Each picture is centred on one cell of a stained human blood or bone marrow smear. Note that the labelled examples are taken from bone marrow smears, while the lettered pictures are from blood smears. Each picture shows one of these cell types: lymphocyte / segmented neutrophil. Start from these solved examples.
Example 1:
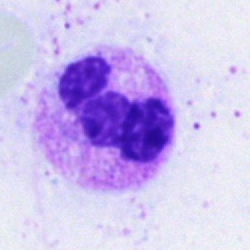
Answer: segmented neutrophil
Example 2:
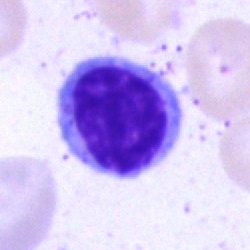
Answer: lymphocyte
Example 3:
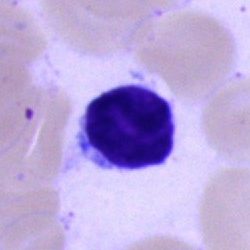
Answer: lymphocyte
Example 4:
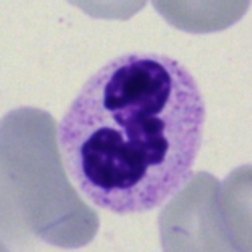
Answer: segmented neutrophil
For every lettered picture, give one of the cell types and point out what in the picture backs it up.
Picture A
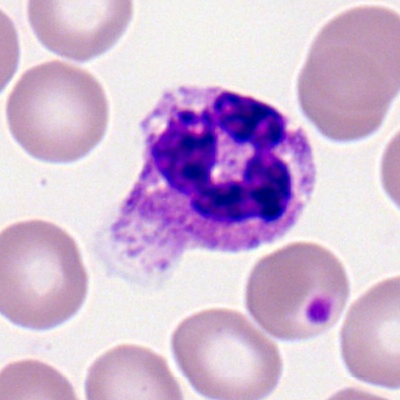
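Label: segmented neutrophil. The nucleus is curved into lobed segments that encircle a pale central gap.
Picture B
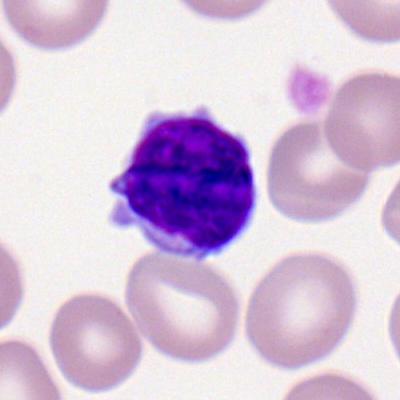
Label: lymphocyte. The nucleus fills almost the whole cell.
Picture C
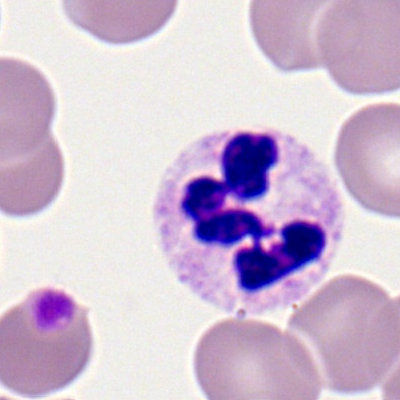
Label: segmented neutrophil. The cytoplasm is plentiful and pale pink-lilac.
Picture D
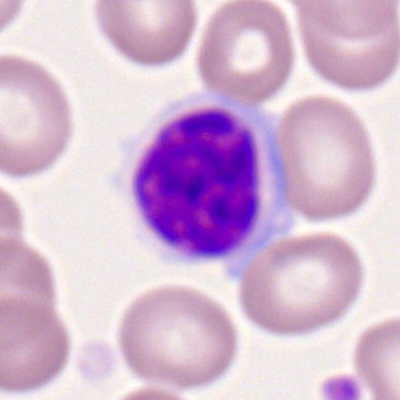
Label: lymphocyte. The cytoplasm forms only a thin rim around the nucleus.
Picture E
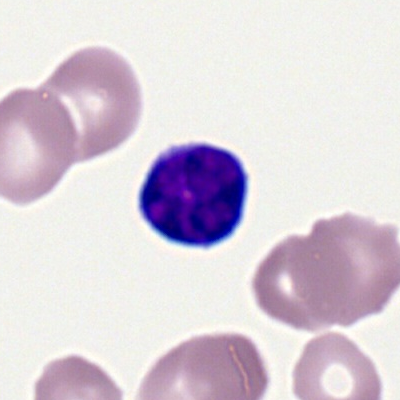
Label: lymphocyte. The cytoplasm is scant, at most a very thin rim around the nucleus.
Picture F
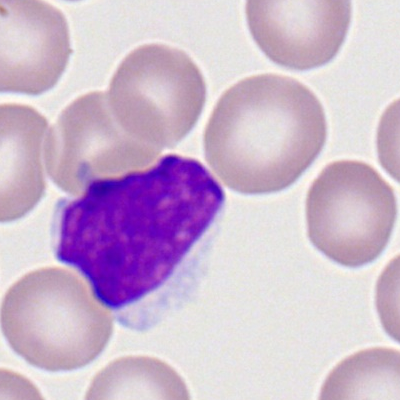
Label: lymphocyte. The nucleus fills most of the cell.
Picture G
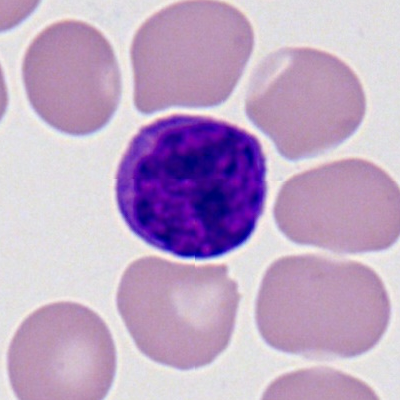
Label: lymphocyte. The cytoplasm is only a thin rim around the nucleus.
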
